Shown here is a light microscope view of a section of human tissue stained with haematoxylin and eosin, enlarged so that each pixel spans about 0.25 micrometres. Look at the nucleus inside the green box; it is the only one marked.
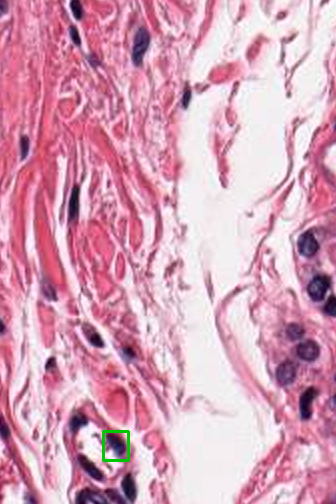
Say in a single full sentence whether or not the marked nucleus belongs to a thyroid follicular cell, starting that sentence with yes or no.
No, belonging to a supporting cell, the marked nucleus is not part of a thyroid follicular cell.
